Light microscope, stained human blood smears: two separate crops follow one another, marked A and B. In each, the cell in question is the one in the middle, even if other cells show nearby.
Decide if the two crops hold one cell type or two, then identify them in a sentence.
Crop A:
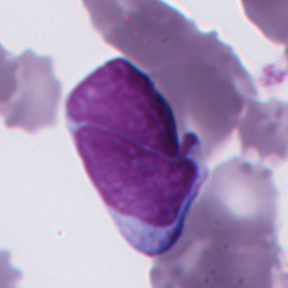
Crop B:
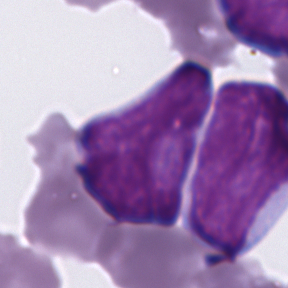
Yes, in the case of both crops, the central cells are myeloblasts.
